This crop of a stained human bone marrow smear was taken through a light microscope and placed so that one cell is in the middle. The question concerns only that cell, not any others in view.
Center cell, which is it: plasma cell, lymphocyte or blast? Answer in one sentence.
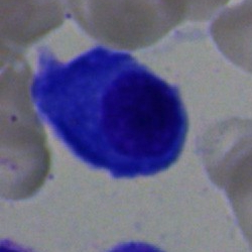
The cell featured at the centre of this crop is a plasma cell.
